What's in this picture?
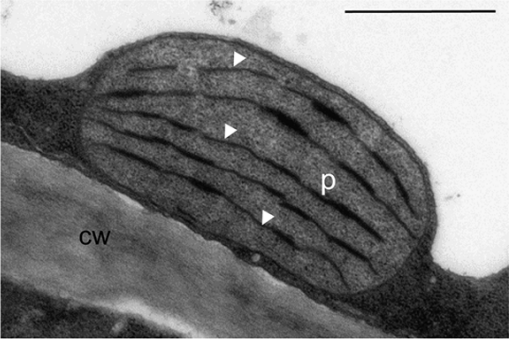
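An oval plastid bulges from the cytoplasm next to a thick, pale cell wall. Inside, long thin membranes run roughly parallel along its length across a finely granular matrix. The membranes are mostly single, with short darker thickened segments here and there instead of tall dense stacks. No starch grain is seen in this plastid. The surrounding cytoplasm is dark and dense.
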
